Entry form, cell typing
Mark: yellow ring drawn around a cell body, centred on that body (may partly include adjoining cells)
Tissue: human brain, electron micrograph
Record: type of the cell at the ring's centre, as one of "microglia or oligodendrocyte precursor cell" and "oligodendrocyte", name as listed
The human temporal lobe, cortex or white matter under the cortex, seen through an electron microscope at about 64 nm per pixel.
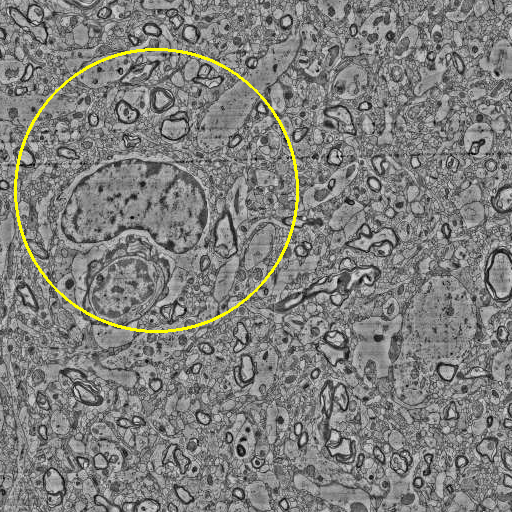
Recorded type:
microglia or oligodendrocyte precursor cell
